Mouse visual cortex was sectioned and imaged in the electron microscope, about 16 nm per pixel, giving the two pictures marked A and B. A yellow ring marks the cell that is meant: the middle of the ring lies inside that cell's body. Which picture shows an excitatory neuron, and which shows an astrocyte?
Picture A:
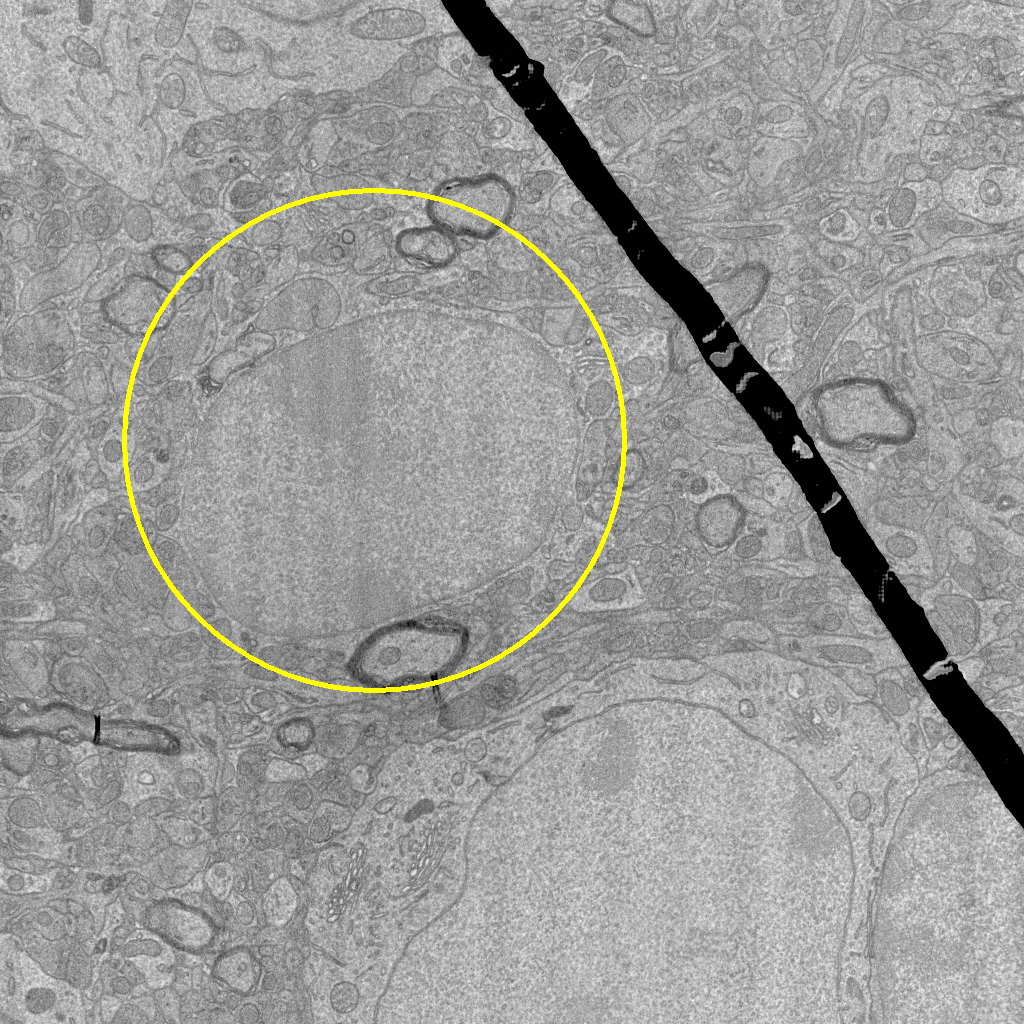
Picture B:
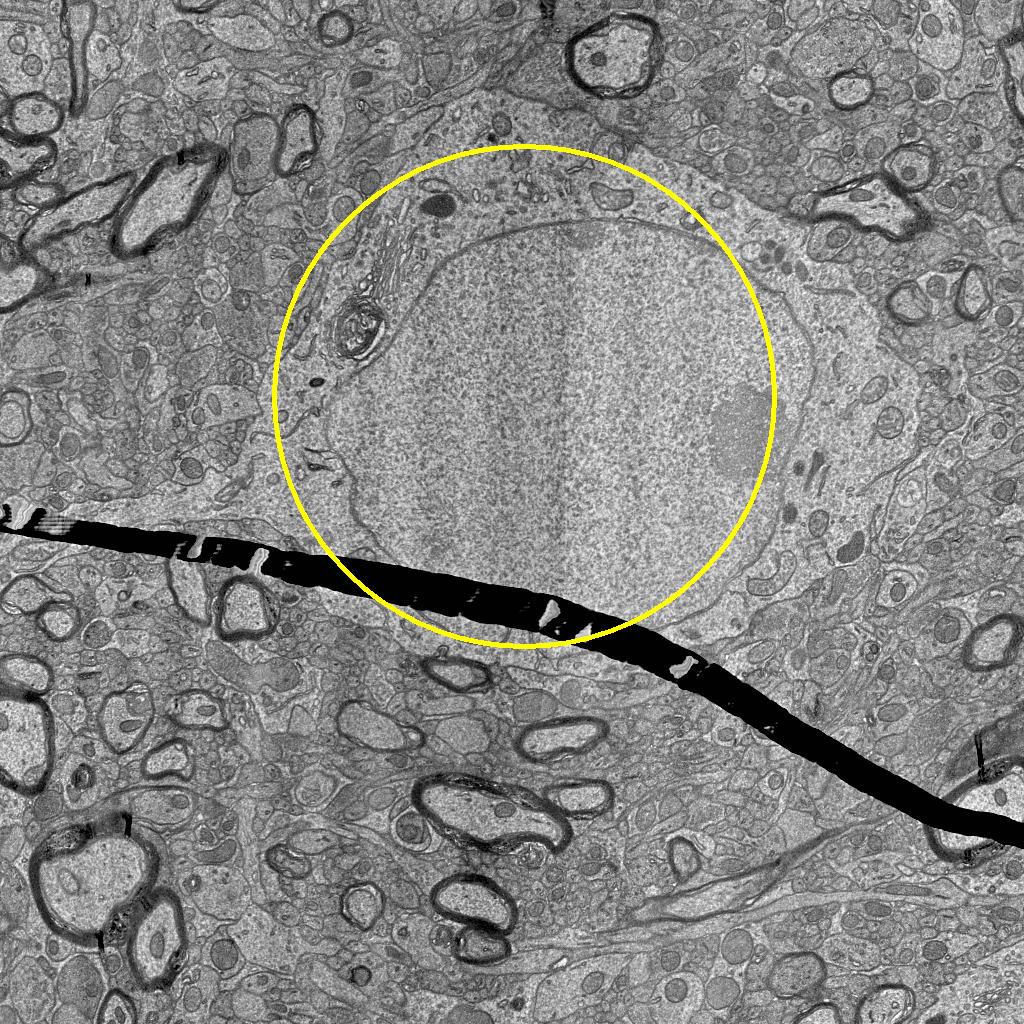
Picture A is of an astrocyte, and picture B is of an excitatory neuron.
